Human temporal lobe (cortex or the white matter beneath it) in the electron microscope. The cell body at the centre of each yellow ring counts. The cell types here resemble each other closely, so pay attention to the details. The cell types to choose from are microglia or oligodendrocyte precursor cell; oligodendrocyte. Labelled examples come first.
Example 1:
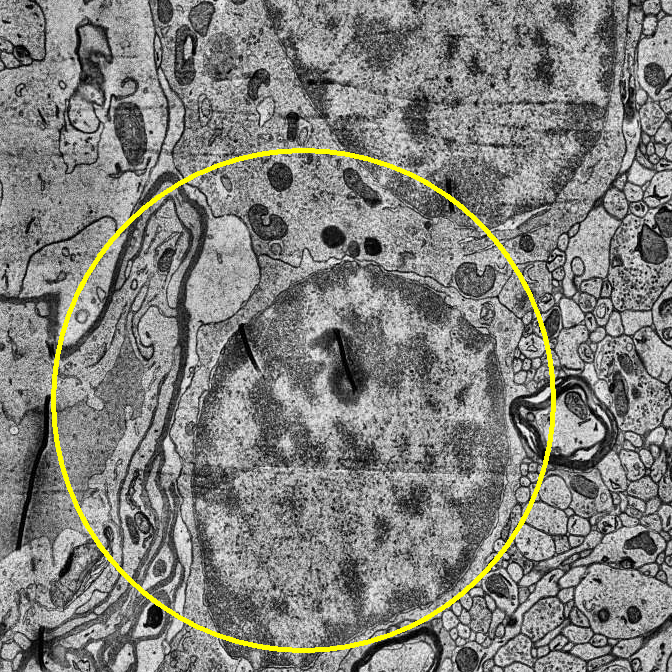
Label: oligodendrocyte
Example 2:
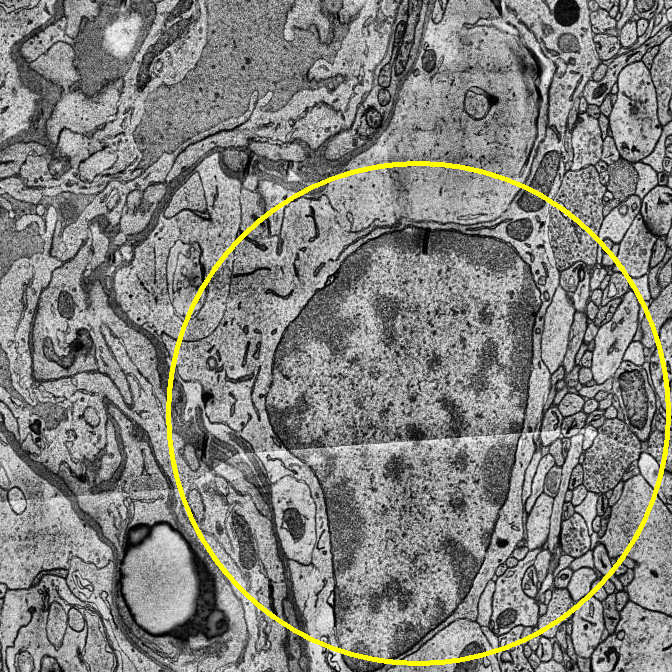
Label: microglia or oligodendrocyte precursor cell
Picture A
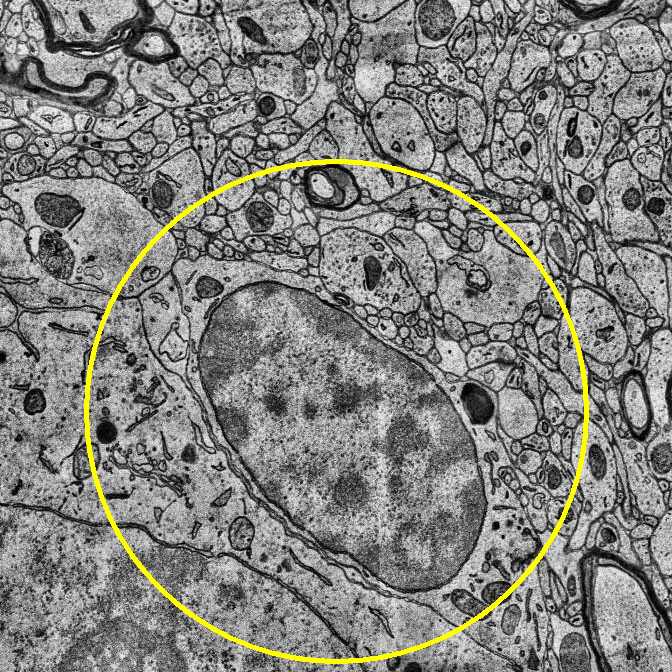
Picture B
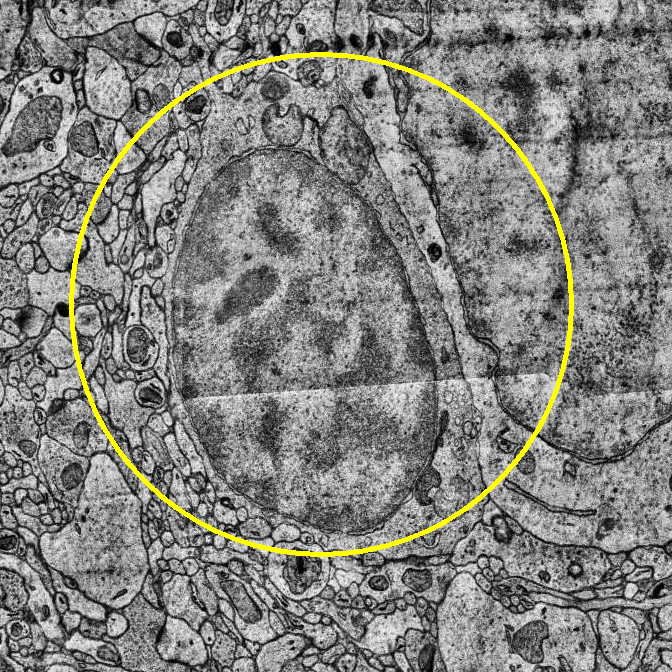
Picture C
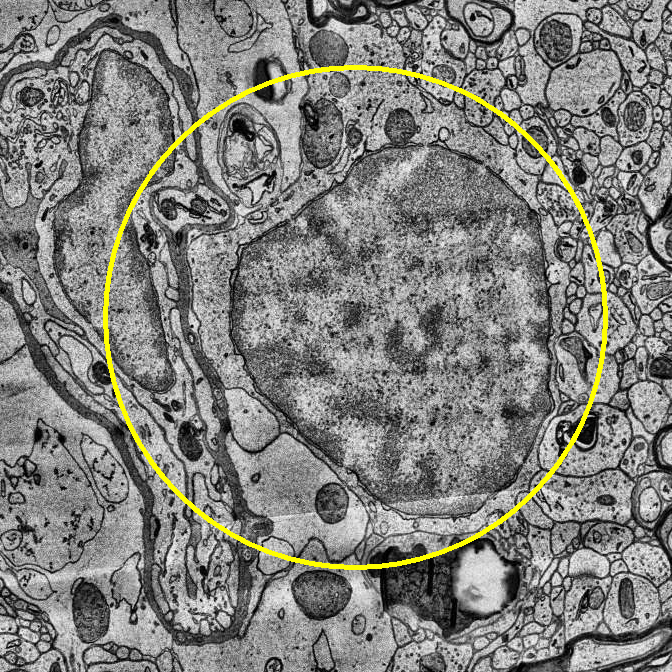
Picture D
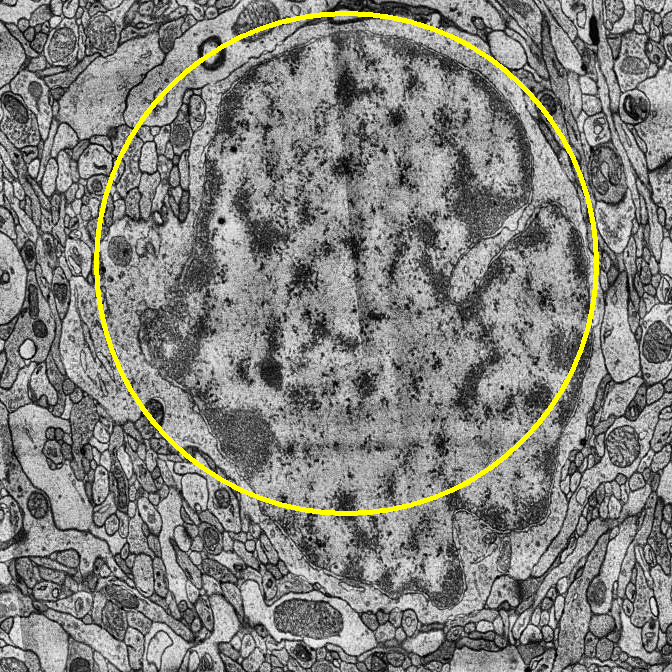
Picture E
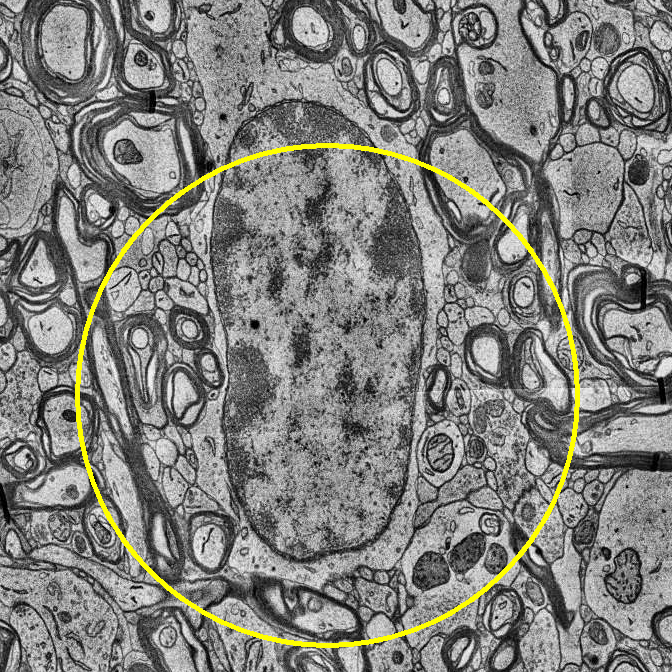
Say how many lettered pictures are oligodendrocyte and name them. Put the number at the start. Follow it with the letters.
Count: 2 (B, C)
